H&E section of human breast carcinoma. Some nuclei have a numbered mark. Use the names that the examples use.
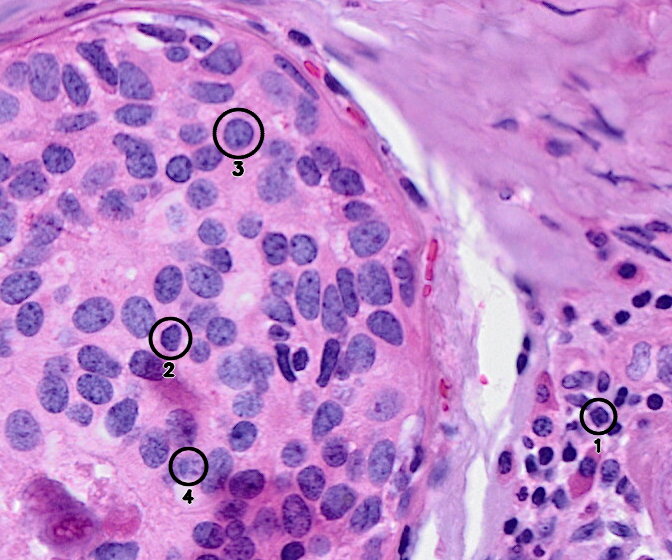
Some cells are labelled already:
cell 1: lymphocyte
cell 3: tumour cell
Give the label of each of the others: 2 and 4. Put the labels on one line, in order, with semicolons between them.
tumour cell; tumour cell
